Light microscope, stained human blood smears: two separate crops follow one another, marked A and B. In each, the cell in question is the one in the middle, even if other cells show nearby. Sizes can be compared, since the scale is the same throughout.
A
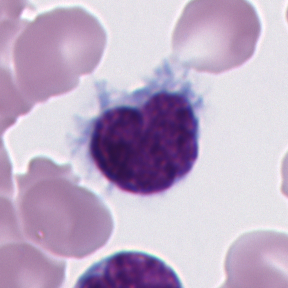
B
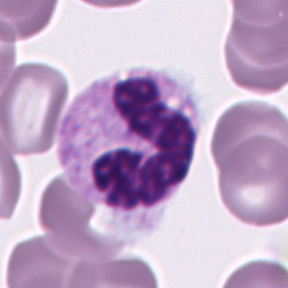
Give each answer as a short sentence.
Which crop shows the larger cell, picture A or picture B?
Picture B holds the larger cell; it covers about 1.5 times the area of the cell in picture A.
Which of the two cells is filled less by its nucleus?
Of the two, the nucleus in picture B leaves more room for cytoplasm.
